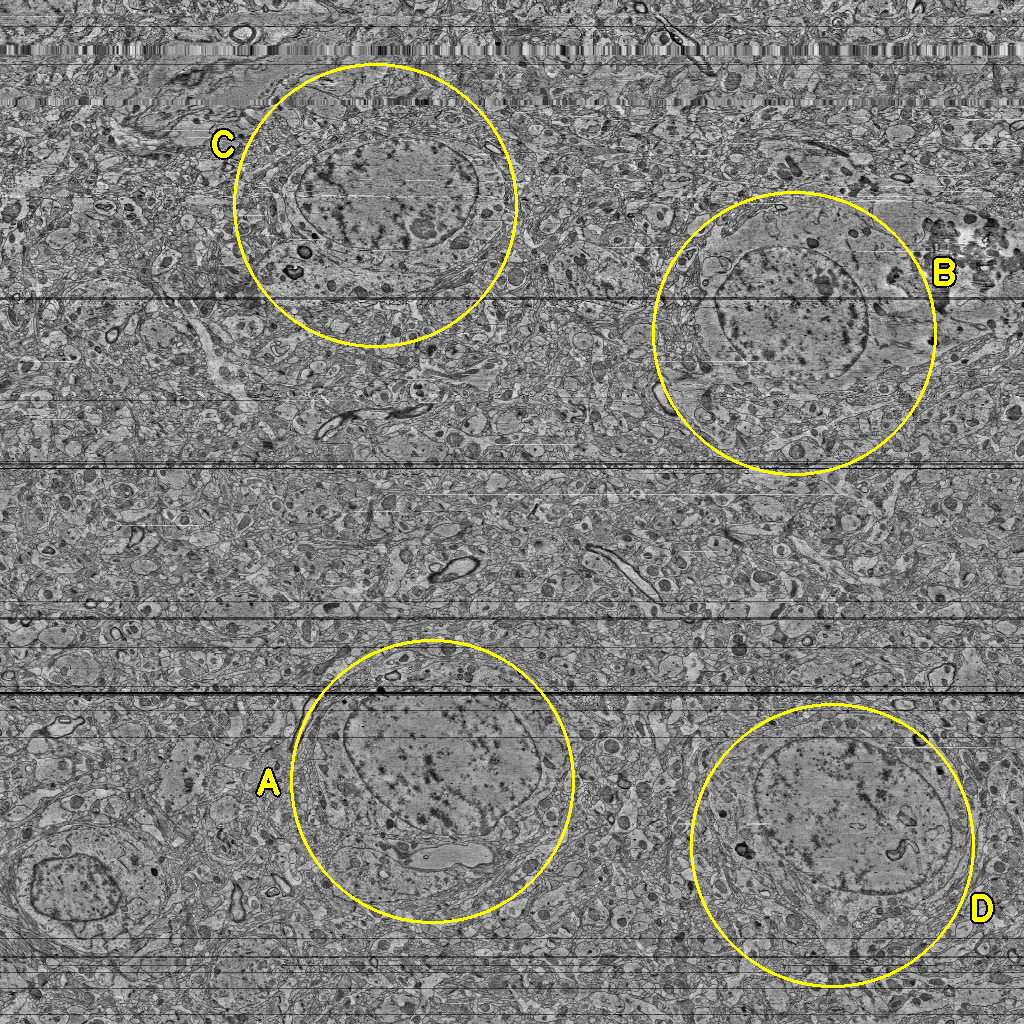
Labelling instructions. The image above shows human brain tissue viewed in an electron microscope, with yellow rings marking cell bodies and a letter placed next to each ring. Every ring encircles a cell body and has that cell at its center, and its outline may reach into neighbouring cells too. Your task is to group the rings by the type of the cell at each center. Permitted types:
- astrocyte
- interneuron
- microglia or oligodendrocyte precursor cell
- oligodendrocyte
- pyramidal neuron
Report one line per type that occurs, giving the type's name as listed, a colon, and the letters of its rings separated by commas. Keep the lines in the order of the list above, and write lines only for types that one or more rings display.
astrocyte: B
pyramidal neuron: A, C, D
